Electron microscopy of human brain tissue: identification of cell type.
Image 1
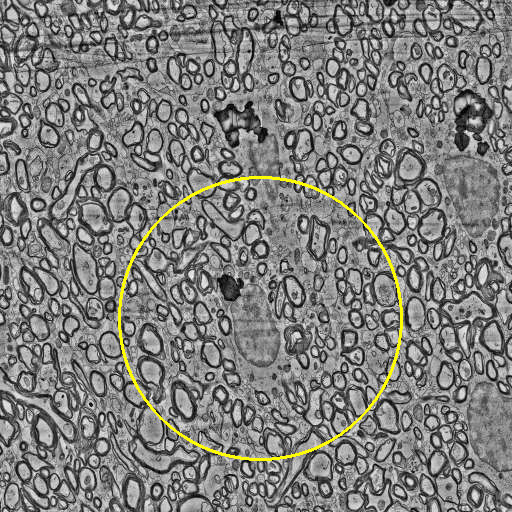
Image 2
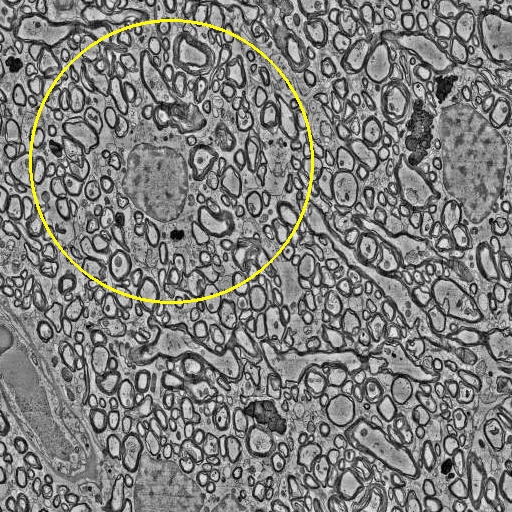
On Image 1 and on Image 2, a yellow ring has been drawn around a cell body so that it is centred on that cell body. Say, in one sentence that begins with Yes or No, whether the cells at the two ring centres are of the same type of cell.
Yes, both cells are the same type of cell.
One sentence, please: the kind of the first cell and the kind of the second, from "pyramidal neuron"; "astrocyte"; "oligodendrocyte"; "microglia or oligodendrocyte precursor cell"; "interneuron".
Each of the two cells is an oligodendrocyte.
